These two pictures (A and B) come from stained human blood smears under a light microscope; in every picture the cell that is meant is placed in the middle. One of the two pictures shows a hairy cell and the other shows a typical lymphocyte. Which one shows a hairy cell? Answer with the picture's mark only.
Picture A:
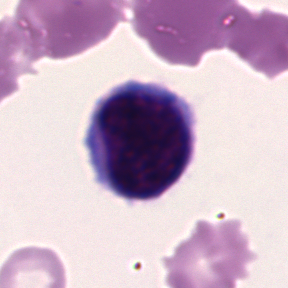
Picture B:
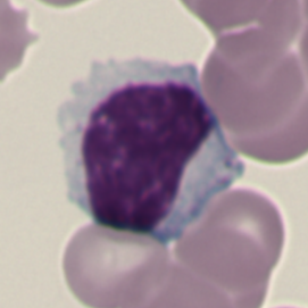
A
